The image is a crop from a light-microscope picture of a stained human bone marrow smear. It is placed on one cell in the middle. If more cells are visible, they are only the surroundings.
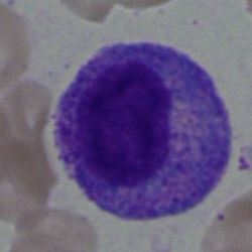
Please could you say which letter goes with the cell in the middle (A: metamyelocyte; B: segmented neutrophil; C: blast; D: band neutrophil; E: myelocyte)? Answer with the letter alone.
E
